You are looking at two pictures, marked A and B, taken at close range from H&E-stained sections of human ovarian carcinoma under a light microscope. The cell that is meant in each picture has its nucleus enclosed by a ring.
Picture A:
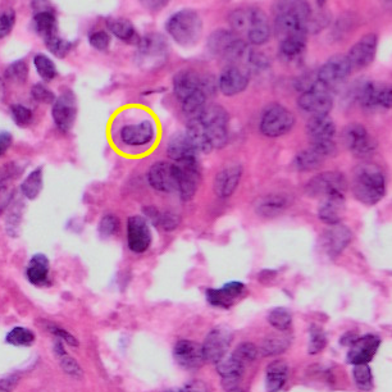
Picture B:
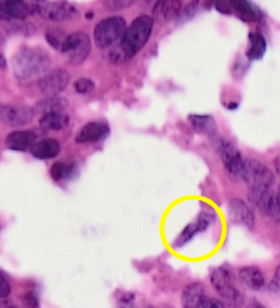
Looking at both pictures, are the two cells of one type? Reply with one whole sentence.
Yes, both are “macrophages or monocytes”.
